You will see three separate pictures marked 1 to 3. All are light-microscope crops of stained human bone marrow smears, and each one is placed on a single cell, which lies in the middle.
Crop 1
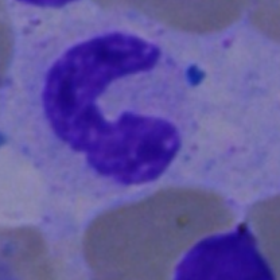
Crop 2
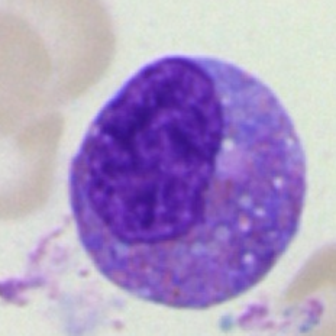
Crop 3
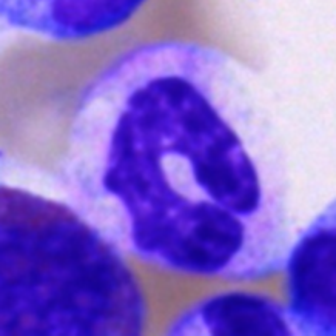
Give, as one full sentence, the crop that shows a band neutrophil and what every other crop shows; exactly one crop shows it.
While crop 1 is a segmented neutrophil and crop 2 is an eosinophil, crop 3 shows a band neutrophil.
